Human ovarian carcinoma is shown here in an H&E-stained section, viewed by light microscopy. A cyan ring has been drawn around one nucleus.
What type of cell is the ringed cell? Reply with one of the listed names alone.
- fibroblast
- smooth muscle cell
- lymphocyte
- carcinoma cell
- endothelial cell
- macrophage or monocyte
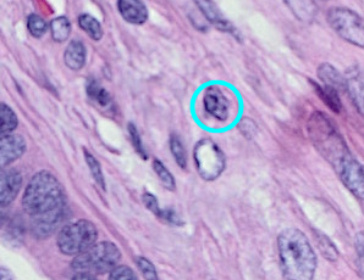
lymphocyte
